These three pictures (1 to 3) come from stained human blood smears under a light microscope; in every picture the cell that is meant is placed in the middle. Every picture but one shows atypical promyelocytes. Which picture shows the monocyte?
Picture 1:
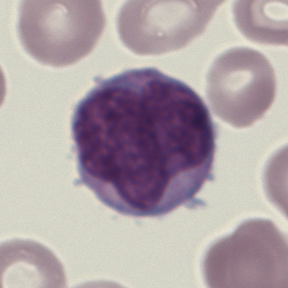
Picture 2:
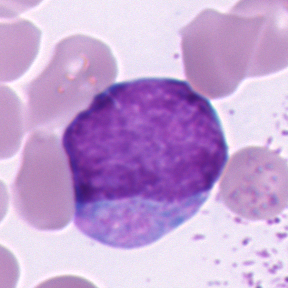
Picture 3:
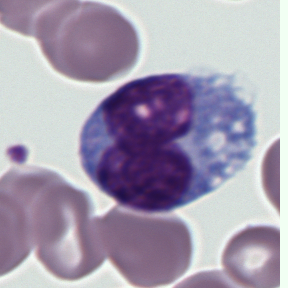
3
